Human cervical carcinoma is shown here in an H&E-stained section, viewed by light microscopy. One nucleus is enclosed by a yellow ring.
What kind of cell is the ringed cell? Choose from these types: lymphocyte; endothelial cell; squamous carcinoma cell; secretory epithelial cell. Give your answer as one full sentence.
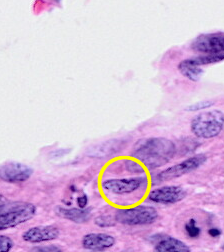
The ringed cell is a squamous carcinoma cell.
